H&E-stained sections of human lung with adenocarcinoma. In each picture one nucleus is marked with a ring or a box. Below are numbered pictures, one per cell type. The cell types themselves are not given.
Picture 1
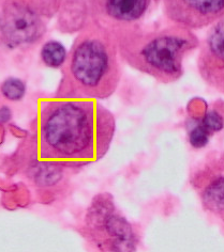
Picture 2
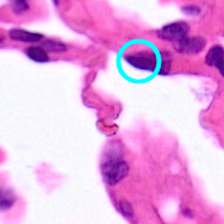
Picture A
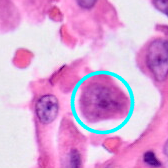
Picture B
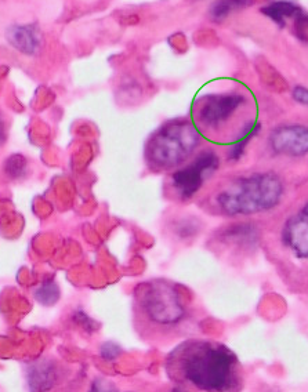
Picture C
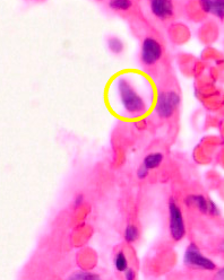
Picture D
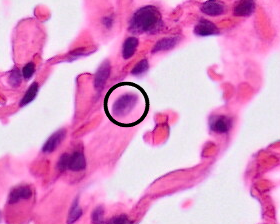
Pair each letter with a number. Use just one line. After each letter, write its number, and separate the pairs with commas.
A 1, B 1, C 2, D 2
